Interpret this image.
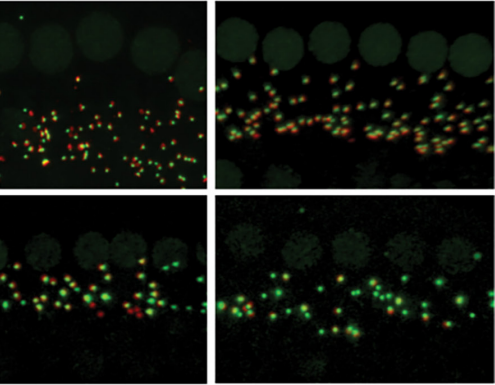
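The puncta gather in a band below a row of large, dim, round green profiles. In the lower images fewer puncta are seen, and more of them stand alone as green or red rather than in pairs.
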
